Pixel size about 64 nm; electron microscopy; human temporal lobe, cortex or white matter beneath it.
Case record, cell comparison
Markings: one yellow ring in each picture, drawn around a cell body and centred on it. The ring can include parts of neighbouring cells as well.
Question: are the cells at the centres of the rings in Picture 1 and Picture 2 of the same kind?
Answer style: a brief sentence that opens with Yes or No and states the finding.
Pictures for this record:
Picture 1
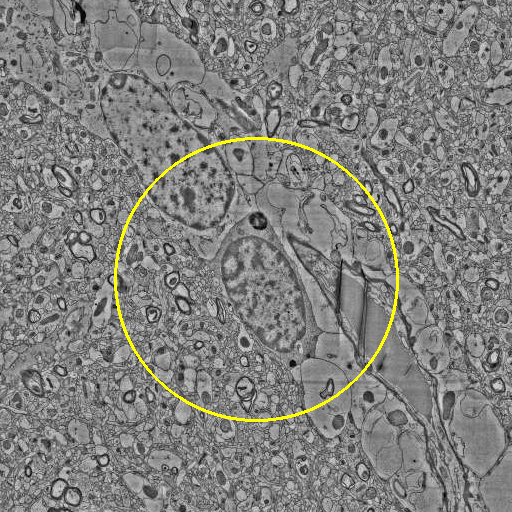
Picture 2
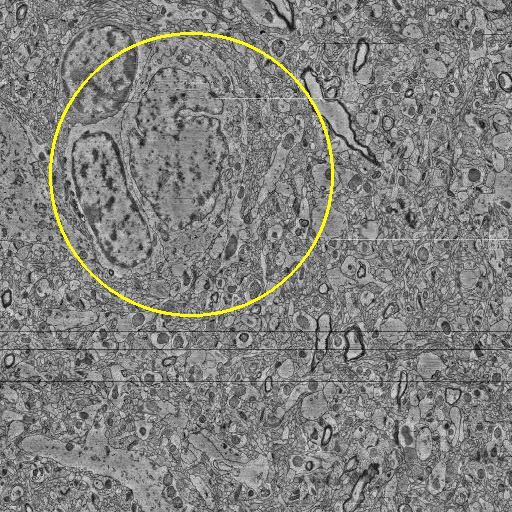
No, the cells in Picture 1 and Picture 2 are of two kinds.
